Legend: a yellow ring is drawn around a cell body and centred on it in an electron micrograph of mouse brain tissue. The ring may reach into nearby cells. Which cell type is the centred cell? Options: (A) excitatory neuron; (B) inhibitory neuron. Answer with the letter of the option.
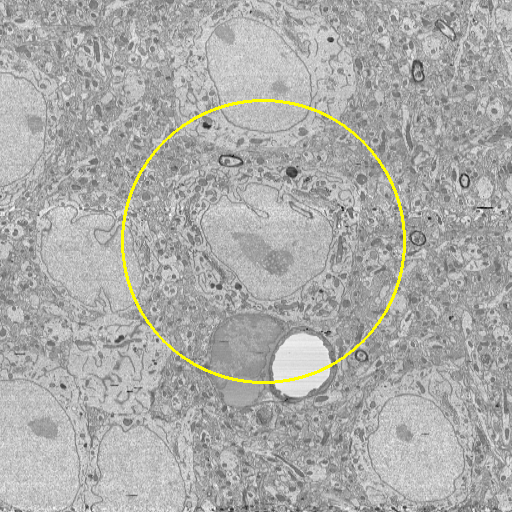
B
